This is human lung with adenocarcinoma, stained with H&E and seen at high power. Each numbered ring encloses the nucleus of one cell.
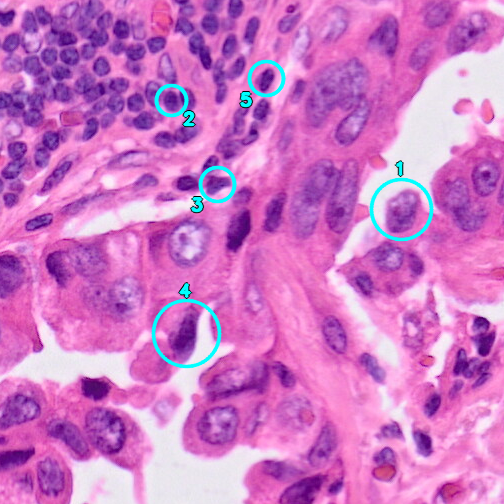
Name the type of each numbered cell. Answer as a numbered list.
1. carcinoma cell
2. lymphocyte
3. lymphocyte
4. carcinoma cell
5. lymphocyte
